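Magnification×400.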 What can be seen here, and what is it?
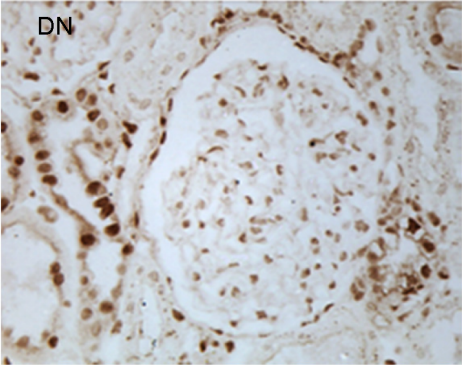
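Kidney cortex with a glomerulus in the centre, its tuft of packed cells separated by a clear space from the surrounding capsule, and tubules cut in cross-section around it. Many nuclei within the glomerular tuft and in the cuboidal epithelium of adjacent tubules are stained dark brown, while the cytoplasm stays pale.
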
